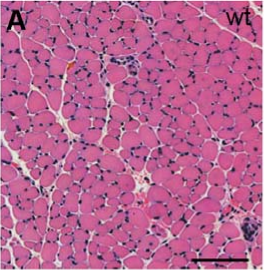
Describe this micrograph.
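This is a cross-section of skeletal muscle, showing myofibers cut transversely as closely packed polygonal profiles with pink-staining cytoplasm. Their dark purple nuclei lie at the periphery of the fibers, and the fibers are grouped into bundles separated by thin pale connective tissue spaces.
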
